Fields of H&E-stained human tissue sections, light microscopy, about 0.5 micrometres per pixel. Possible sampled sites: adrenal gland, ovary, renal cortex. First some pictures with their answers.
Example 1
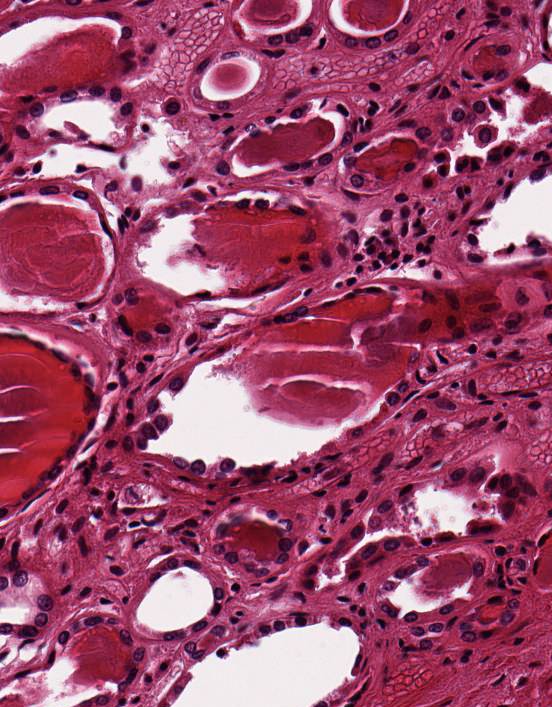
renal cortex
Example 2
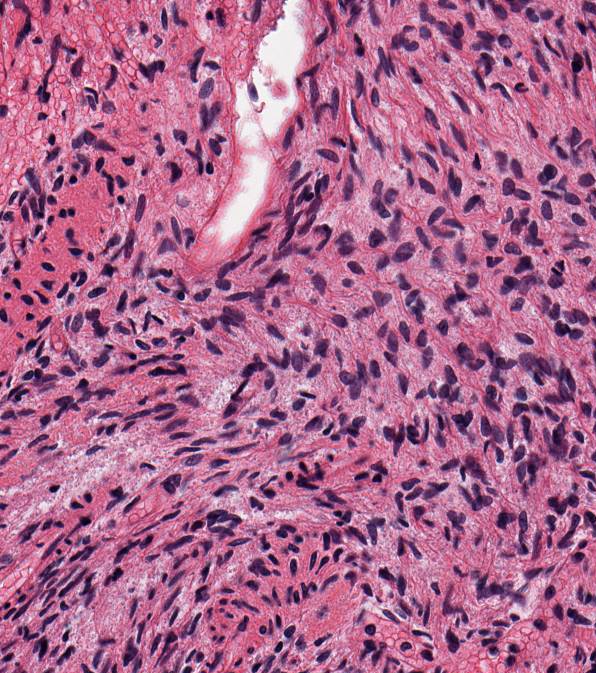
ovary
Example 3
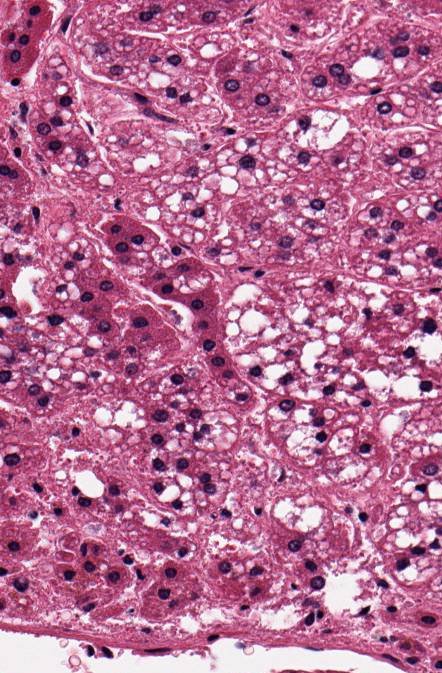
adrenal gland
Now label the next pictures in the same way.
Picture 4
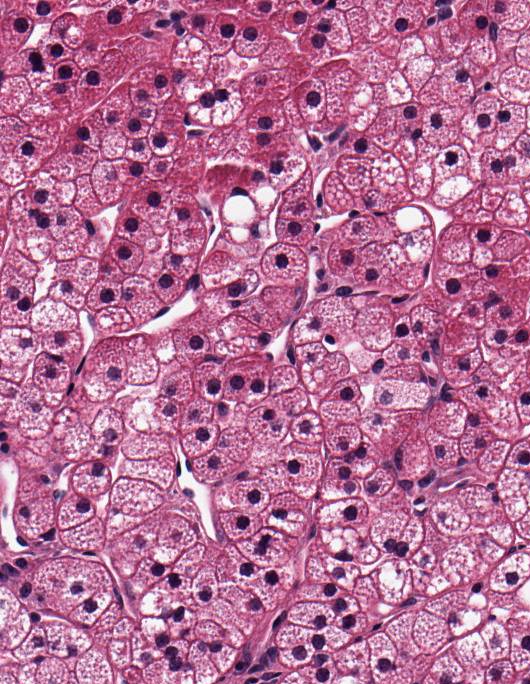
adrenal gland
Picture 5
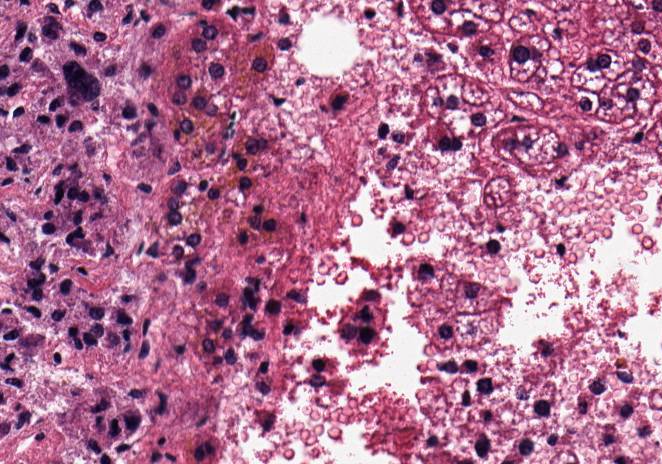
adrenal gland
